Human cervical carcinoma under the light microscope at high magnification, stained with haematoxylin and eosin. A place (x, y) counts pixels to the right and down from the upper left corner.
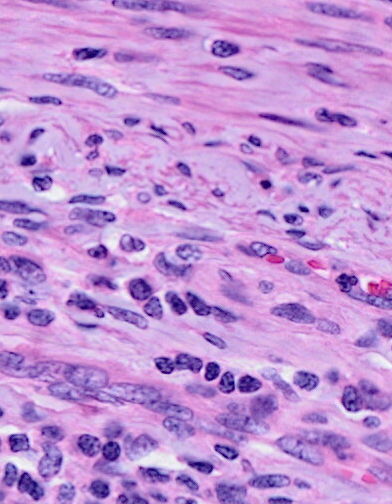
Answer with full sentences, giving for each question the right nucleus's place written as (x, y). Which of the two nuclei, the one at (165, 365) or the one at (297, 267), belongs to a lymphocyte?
The nucleus at (165, 365) belongs to a lymphocyte, which distinguishes it from the other nucleus.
